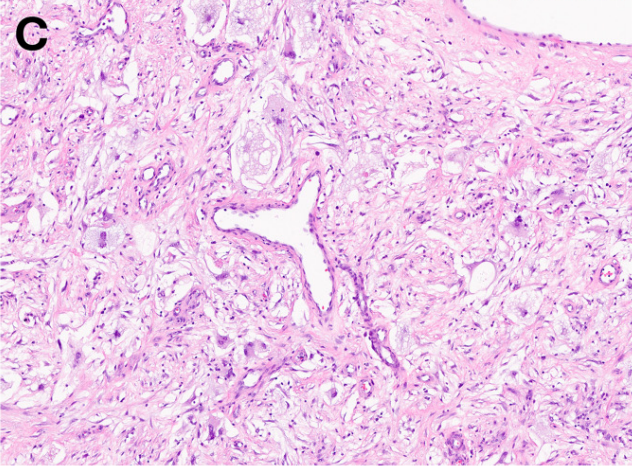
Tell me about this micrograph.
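This lesional stroma is made of spindled cells and scattered giant cells set in a loose, pale pink matrix. The spindled cells have slender, elongated nuclei and run in various directions without a clear pattern. Among them lie larger cells with bigger, darker nuclei.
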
